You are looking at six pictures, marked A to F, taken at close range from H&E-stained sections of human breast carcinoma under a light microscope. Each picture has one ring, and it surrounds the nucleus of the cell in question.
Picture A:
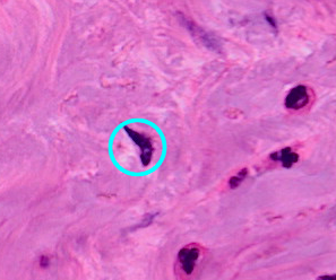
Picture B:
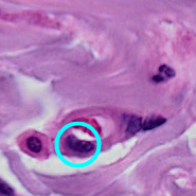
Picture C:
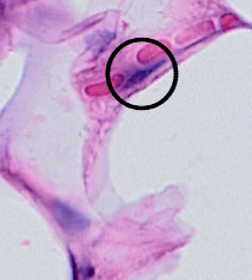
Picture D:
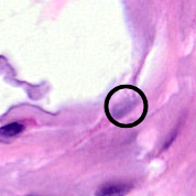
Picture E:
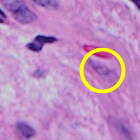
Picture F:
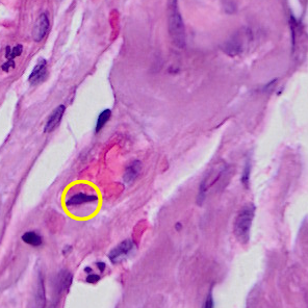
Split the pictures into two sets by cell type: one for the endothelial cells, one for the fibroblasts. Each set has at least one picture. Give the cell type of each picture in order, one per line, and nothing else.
fibroblast
endothelial cell
endothelial cell
fibroblast
endothelial cell
endothelial cell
